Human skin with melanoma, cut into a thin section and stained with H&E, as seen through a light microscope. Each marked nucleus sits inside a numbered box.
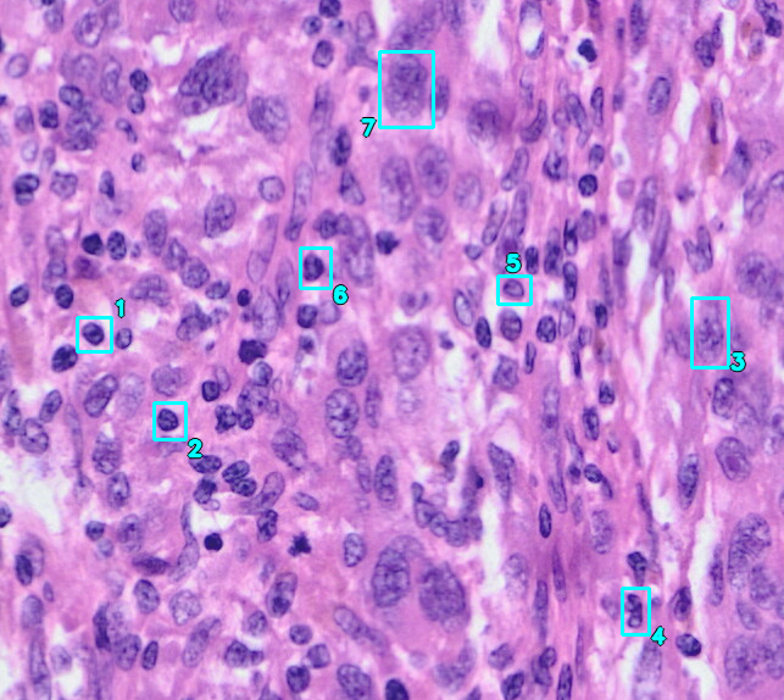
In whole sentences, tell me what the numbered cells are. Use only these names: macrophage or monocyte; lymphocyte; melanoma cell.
Cells 1, 2, 4 and 6 are lymphocytes. Cells 3 and 7 are melanoma cells. Cell 5 is a macrophage or monocyte.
